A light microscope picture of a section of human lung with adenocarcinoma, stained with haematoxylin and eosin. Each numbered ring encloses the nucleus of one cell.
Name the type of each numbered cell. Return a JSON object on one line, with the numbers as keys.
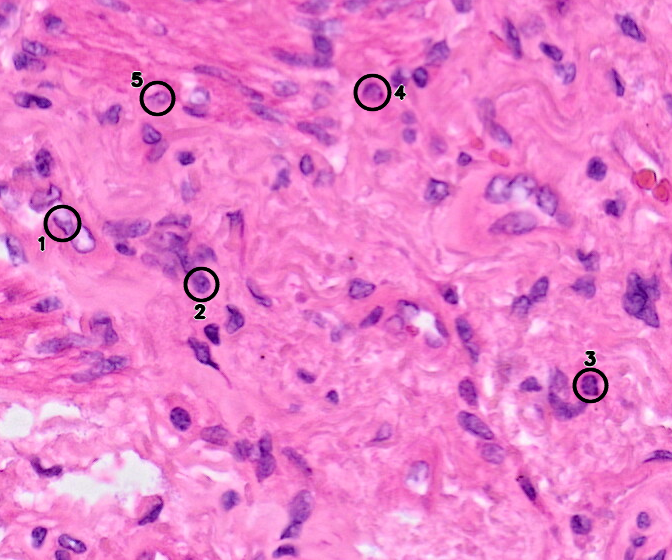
{"1": "endothelial cell", "2": "lymphocyte", "3": "mast cell", "4": "mast cell", "5": "smooth muscle cell or pericyte"}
